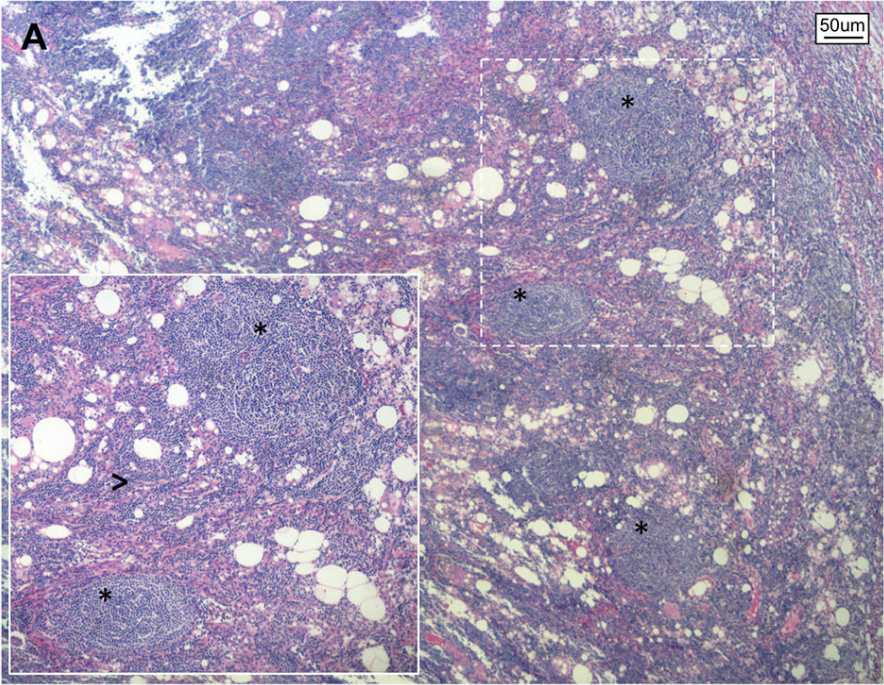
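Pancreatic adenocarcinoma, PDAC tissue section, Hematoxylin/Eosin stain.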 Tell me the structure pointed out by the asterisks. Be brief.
Lymphoid structures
